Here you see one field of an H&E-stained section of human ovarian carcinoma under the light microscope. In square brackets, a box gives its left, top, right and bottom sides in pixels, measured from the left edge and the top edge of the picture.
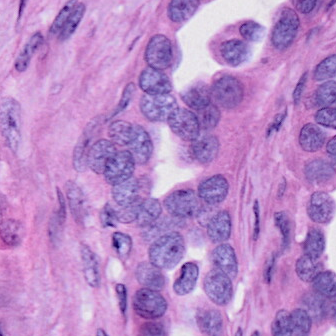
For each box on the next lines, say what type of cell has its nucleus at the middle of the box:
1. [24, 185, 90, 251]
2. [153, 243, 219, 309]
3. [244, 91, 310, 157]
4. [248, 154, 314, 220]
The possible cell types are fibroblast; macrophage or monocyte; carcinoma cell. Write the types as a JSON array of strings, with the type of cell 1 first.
["fibroblast", "macrophage or monocyte", "fibroblast", "fibroblast"]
